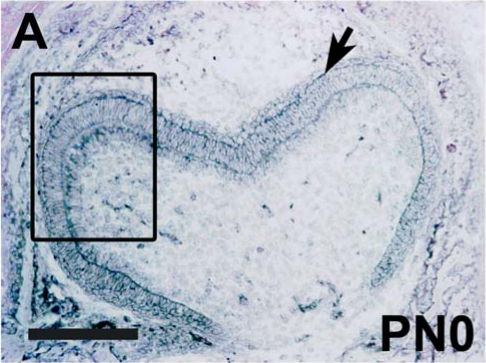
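Here a tooth germ is seen in section. Its epithelium folds in a bell or heart shape, with two humps at the top and a dip between them. Along this fold runs a layer of tall, closely packed columnar cells, the inner enamel epithelium, which is tinted blue-green. It faces a large, pale central mass of loosely arranged, rounded cells. On the inner side of the epithelial layer, a thin line of cells at the edge of that central mass also carries some colour. Outside the epithelium the surrounding tissue is loose and pale, with a few scattered darker spots.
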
